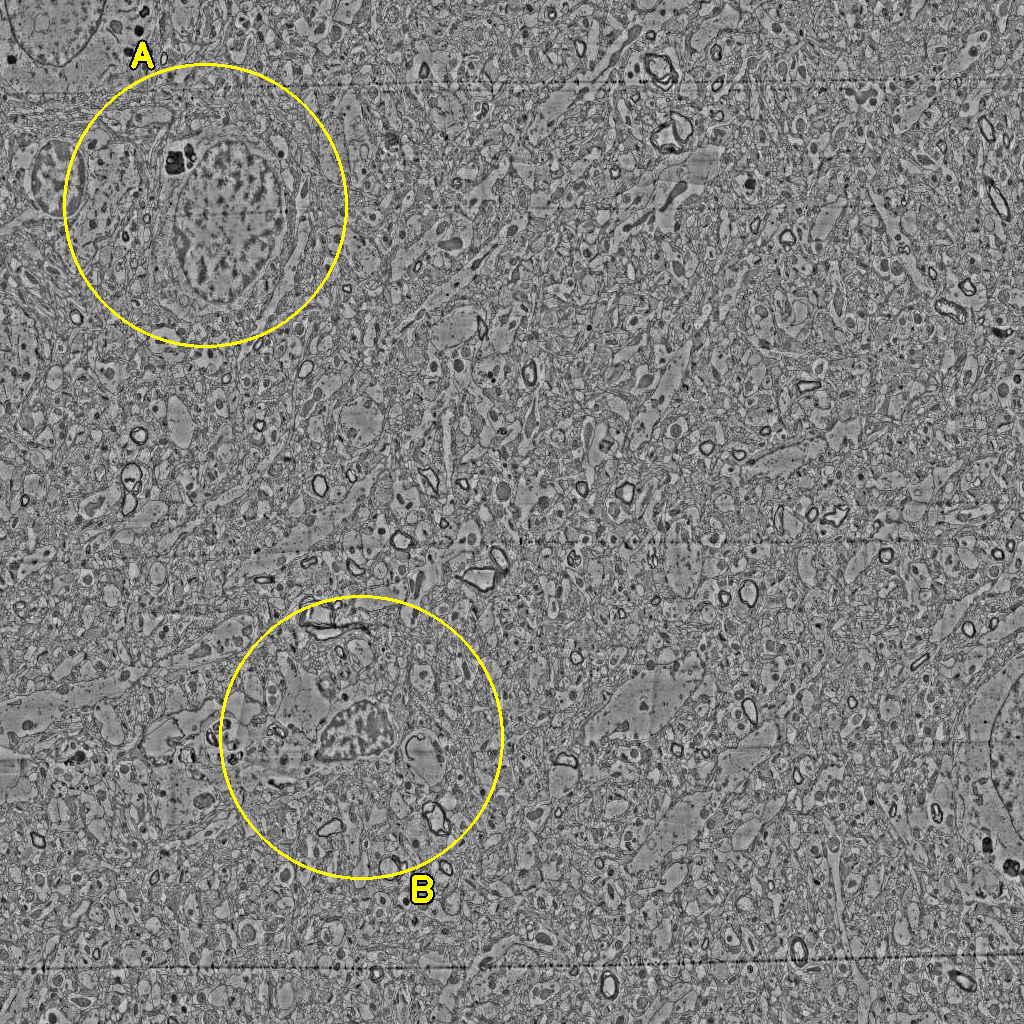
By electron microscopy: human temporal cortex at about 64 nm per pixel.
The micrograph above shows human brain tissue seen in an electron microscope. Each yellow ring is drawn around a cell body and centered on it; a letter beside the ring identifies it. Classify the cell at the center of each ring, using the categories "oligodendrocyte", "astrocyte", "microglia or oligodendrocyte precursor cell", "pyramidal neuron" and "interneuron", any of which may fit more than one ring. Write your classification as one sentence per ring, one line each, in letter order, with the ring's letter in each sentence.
Ring A is centered on an interneuron.
Ring B is centered on a microglial cell or oligodendrocyte precursor cell.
